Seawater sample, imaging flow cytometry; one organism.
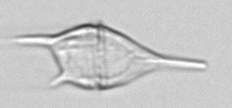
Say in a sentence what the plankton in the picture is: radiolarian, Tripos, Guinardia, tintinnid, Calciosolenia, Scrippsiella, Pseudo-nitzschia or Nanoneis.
This is Tripos.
